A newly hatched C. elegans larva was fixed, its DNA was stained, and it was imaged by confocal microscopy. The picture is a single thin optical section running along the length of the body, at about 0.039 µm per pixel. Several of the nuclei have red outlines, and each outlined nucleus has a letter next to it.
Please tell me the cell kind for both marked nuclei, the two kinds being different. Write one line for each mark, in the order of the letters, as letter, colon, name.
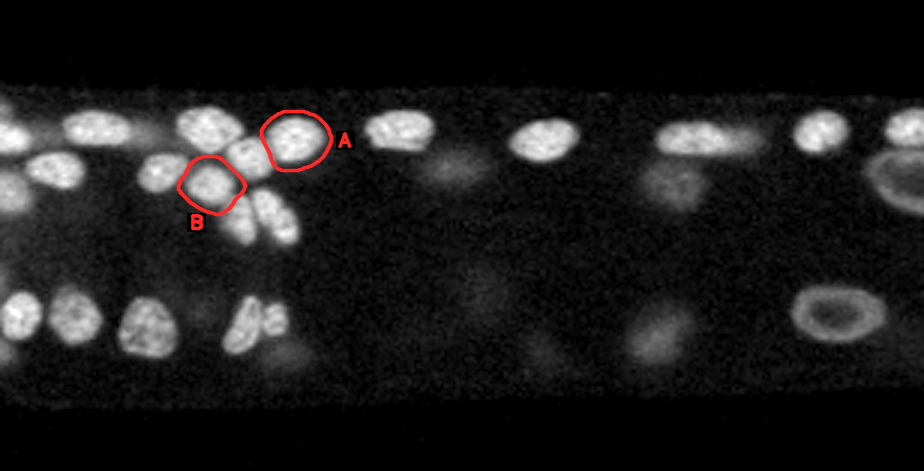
A: neuron
B: pharyngeal gland cell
